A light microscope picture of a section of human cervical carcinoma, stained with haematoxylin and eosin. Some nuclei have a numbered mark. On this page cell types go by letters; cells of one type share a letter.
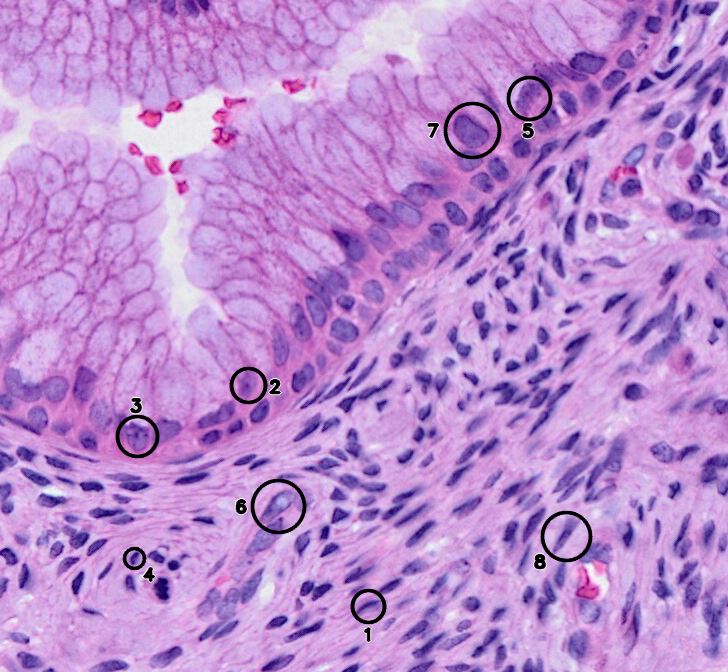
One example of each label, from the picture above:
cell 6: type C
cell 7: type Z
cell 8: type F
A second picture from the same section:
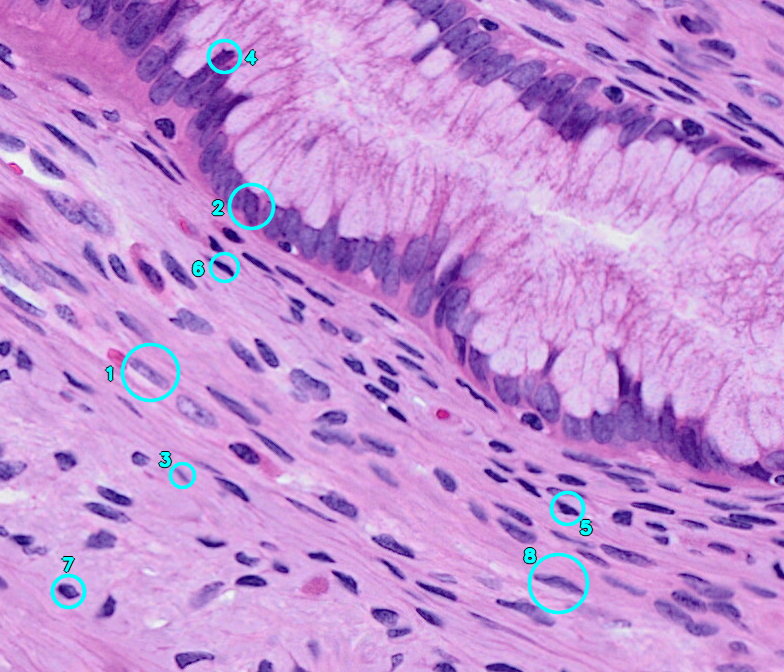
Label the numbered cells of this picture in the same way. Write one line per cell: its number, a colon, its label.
1: type C
2: type Z
3: type F
4: type Z
5: type F
6: type F
7: type F
8: type F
